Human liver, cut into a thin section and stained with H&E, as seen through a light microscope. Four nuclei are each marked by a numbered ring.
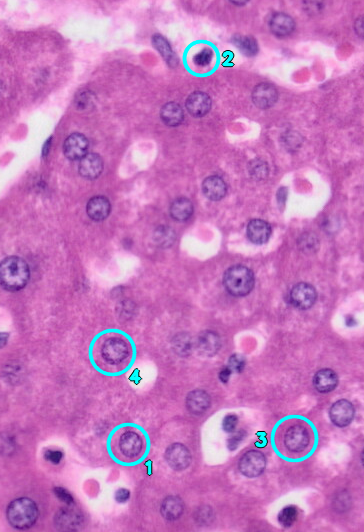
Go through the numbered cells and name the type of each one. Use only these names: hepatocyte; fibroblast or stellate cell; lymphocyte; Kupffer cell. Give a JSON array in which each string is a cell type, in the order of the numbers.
["hepatocyte", "lymphocyte", "hepatocyte", "hepatocyte"]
